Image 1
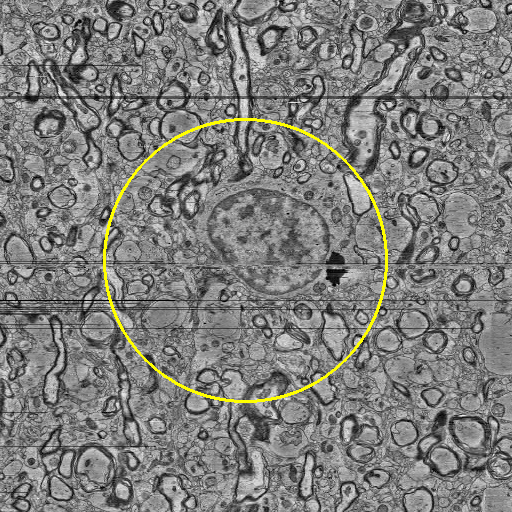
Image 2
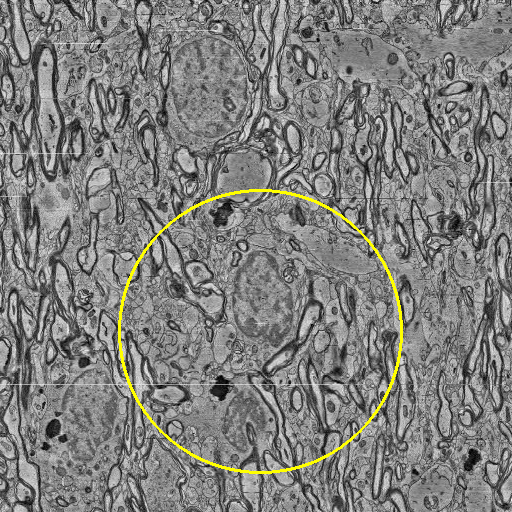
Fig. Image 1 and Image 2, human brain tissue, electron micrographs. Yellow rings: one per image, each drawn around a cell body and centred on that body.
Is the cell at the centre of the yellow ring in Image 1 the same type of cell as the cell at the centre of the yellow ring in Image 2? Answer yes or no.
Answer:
yes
